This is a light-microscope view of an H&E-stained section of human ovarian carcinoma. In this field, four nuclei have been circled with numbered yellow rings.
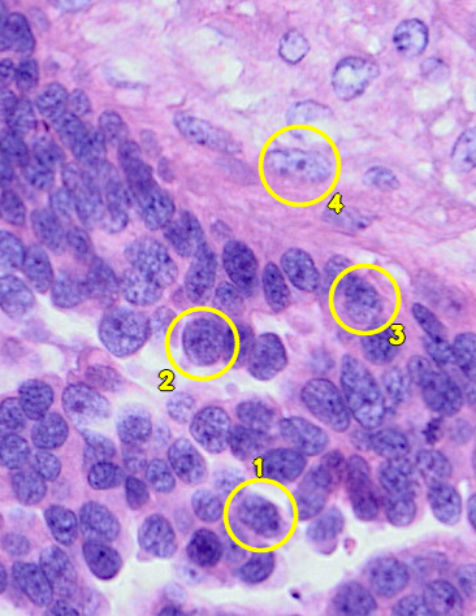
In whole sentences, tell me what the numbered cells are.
Cells 1, 2 and 3 are carcinoma cells. Cell 4 is a fibroblast.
